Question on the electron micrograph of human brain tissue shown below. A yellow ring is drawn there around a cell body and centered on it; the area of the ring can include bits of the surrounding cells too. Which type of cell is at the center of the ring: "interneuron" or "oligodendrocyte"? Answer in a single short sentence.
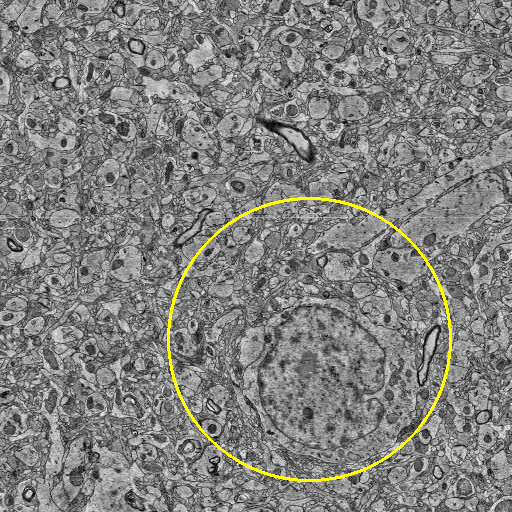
The ring is centered on an interneuron.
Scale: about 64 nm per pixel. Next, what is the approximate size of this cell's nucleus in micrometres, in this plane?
In this plane the nucleus is about 10 micrometres by 8.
